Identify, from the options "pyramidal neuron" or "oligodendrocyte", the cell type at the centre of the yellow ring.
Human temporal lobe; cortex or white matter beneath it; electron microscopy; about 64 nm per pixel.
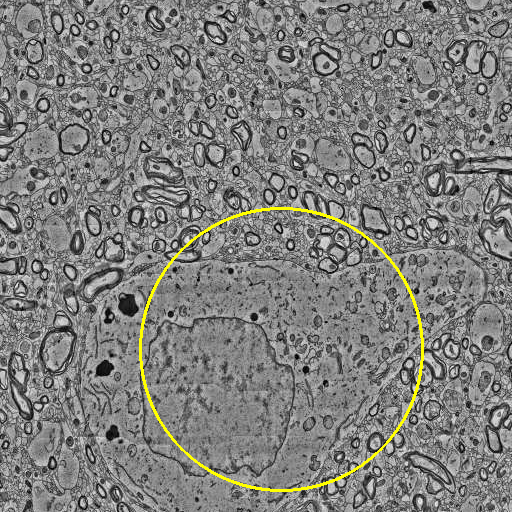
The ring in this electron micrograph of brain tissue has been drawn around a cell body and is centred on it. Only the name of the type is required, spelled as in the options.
pyramidal neuron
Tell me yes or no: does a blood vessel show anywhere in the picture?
No, no blood vessel can be seen.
